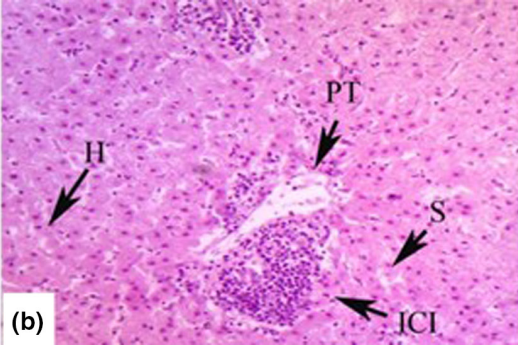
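Liver tissue in which polygonal hepatocytes with round central nuclei and pink cytoplasm form cords separated by narrow pale sinusoids. Next to a portal tract with a thin-walled vessel lies a dense, compact aggregate of many small round darkly stained nuclei, an inflammatory cell infiltration; a smaller similar cluster sits near the upper edge.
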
